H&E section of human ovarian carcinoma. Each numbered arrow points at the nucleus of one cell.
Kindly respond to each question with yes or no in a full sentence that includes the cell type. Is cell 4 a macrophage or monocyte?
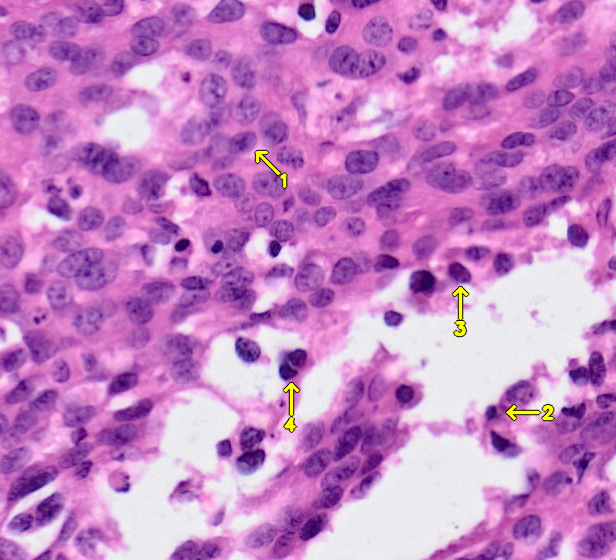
No, the cell tagged 4 is a carcinoma cell, not a macrophage or monocyte.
